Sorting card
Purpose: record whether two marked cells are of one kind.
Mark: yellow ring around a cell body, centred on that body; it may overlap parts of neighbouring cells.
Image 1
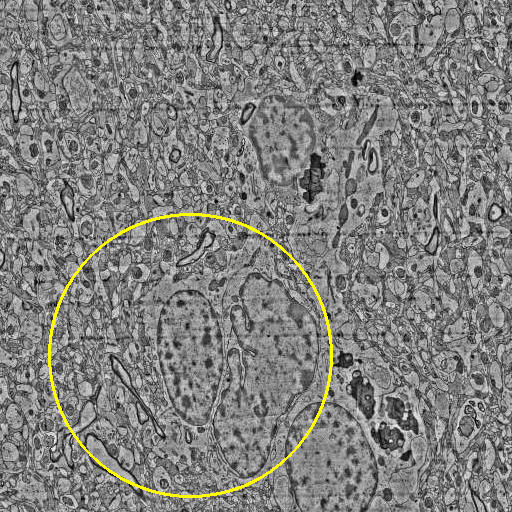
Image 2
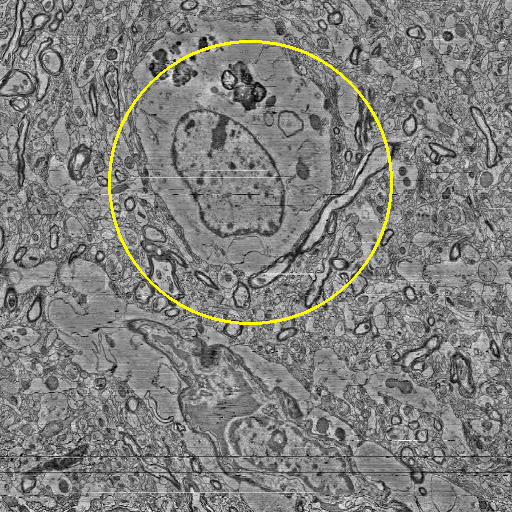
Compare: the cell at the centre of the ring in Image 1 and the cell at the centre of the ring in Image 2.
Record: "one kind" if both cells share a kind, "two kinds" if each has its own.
one kind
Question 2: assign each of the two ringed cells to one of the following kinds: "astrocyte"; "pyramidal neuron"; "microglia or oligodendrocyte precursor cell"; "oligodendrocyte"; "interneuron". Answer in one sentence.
In both pictures the ring is centred on an astrocyte.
